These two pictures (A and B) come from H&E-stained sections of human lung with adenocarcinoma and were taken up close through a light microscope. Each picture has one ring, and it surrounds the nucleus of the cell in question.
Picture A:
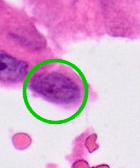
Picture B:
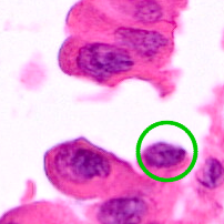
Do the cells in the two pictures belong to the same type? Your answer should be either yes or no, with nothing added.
yes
